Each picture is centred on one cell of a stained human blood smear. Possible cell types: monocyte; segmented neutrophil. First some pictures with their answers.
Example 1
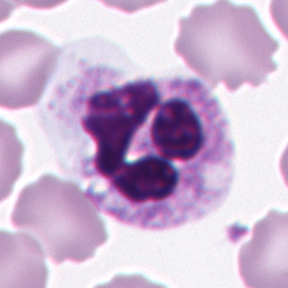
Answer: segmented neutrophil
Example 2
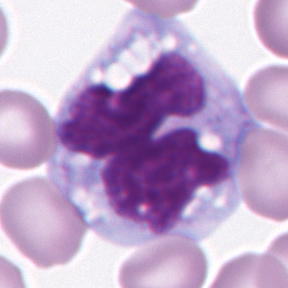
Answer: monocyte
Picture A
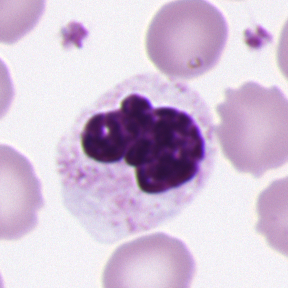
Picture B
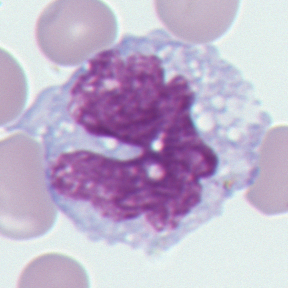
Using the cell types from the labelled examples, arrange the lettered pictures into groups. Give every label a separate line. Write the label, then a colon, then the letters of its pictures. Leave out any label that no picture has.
monocyte: B
segmented neutrophil: A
